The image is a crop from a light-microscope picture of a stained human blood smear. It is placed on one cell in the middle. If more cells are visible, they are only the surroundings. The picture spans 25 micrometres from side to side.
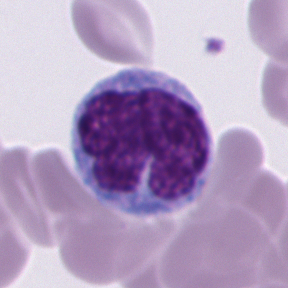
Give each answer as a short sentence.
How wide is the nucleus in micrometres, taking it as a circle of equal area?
It measures about 10 micrometres across.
